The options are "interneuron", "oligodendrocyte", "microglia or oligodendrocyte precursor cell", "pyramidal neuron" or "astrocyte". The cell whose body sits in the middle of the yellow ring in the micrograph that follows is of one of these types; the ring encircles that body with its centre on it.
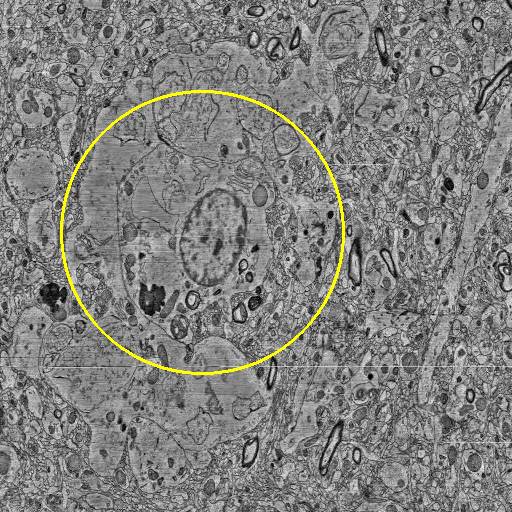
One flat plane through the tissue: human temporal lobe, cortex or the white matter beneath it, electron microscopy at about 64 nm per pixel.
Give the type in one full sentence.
Going by the micrograph, the cell centred in the yellow ring is an astrocyte.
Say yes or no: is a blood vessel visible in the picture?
Yes, one is visible.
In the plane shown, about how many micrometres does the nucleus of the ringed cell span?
In this plane the nucleus is roughly 6 by 4 micrometres, clearly longer than it is wide.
